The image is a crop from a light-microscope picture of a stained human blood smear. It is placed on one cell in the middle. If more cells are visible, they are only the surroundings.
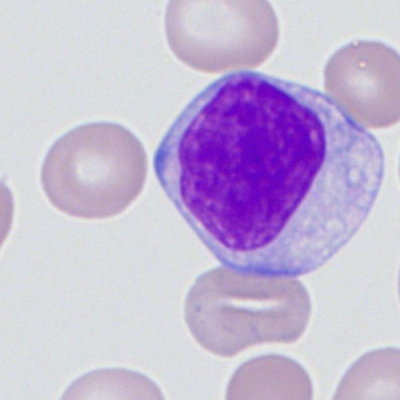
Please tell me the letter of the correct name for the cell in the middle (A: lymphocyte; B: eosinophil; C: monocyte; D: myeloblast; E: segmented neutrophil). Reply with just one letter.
A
